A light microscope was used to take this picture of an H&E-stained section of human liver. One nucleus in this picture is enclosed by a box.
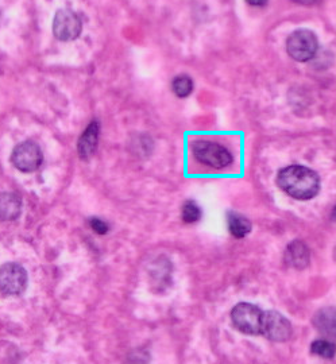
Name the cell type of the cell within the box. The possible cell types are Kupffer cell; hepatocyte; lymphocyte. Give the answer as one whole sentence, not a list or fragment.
The category to which the cell within the box belongs is that of a Kupffer cell.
